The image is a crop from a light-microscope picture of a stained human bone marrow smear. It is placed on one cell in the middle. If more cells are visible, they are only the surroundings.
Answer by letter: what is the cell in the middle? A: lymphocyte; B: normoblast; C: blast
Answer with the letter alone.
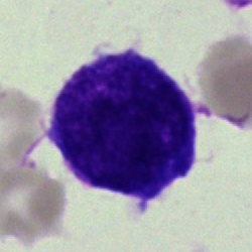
C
